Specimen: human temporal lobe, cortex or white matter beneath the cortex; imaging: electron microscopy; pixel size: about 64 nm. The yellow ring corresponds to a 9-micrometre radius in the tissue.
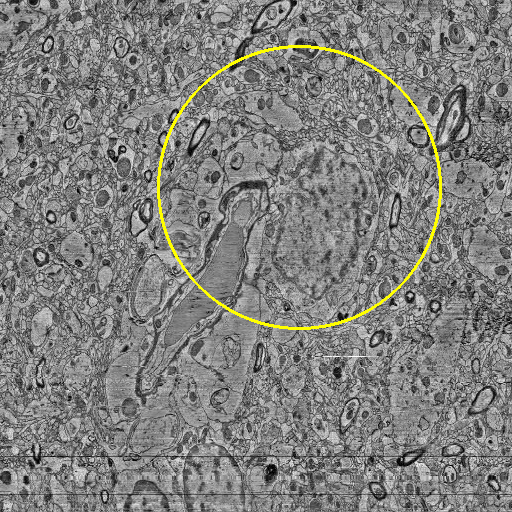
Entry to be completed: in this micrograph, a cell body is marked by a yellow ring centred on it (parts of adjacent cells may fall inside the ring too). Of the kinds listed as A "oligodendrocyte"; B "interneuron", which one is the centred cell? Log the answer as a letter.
B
